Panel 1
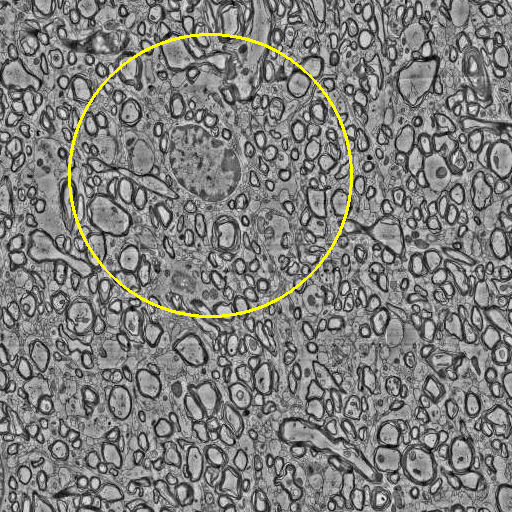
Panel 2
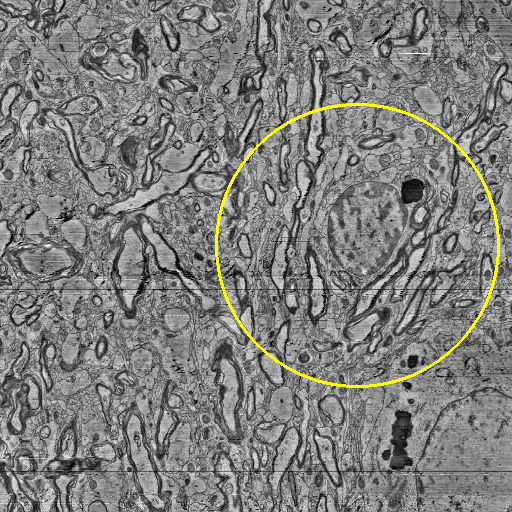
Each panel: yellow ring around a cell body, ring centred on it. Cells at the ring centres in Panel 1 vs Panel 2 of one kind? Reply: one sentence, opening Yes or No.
Yes, Panel 1 and Panel 2 have cells of one kind at the ring centres.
